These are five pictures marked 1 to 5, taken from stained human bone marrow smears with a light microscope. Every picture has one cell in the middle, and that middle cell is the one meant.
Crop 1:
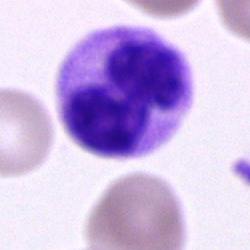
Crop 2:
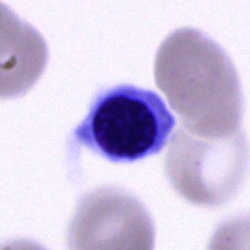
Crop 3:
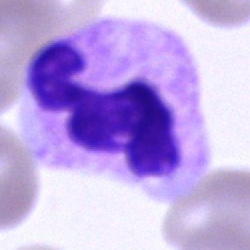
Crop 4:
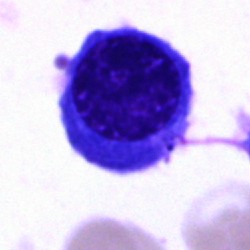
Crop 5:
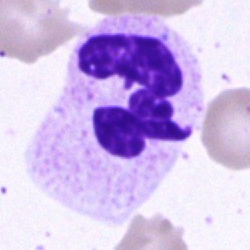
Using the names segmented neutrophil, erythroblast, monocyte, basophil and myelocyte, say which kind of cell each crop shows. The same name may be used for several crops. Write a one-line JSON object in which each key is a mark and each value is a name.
{"1": "segmented neutrophil", "2": "erythroblast", "3": "segmented neutrophil", "4": "erythroblast", "5": "segmented neutrophil"}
